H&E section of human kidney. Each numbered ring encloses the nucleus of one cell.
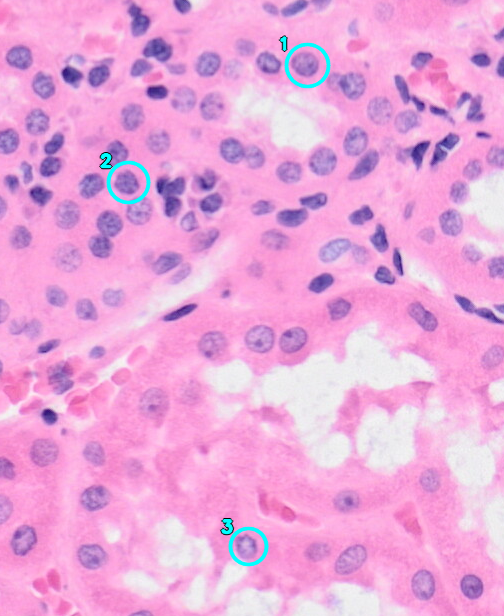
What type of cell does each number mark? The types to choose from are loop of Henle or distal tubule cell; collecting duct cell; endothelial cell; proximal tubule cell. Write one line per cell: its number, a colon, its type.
1: loop of Henle or distal tubule cell
2: loop of Henle or distal tubule cell
3: proximal tubule cell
